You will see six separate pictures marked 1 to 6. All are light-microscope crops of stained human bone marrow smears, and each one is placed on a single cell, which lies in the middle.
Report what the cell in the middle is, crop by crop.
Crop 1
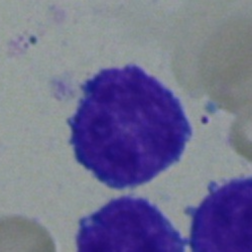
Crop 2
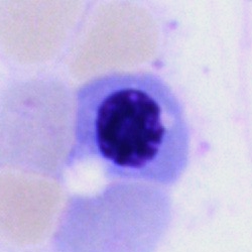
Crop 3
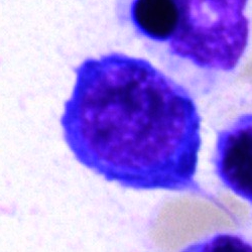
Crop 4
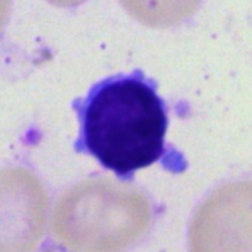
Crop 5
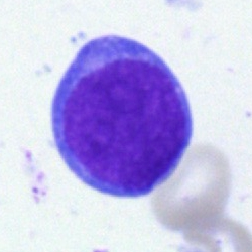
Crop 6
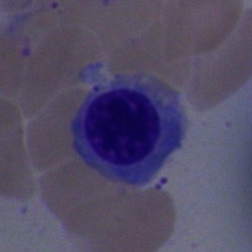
1: blast
2: erythroblast
3: erythroblast
4: lymphocyte
5: blast
6: erythroblast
